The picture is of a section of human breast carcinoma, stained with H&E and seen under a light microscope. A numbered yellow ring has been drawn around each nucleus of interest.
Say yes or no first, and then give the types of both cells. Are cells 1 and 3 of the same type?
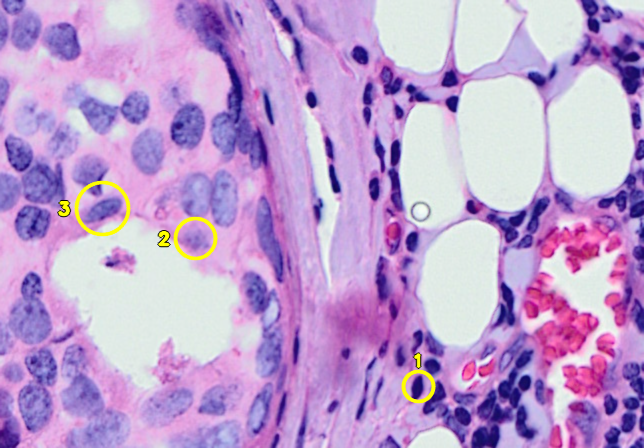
No, just to clarify, cell 1 is a lymphocyte and cell 3 is a carcinoma cell.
